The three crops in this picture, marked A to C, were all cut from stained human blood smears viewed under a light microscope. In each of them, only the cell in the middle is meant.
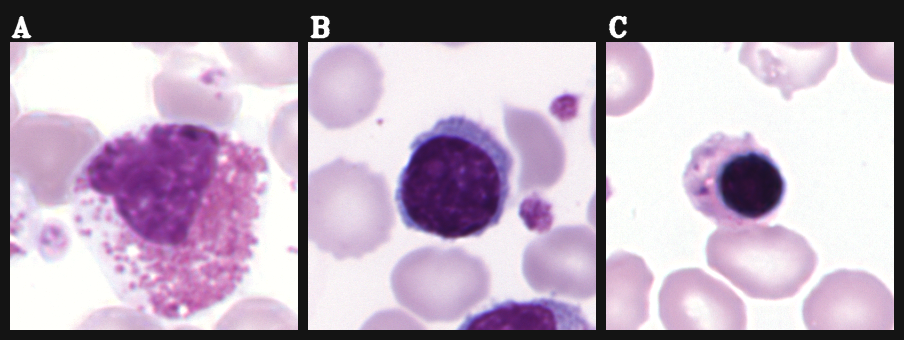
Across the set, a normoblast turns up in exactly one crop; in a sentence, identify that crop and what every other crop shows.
There is a normoblast in crop C, while crop A is an eosinophil and crop B is a typical lymphocyte.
